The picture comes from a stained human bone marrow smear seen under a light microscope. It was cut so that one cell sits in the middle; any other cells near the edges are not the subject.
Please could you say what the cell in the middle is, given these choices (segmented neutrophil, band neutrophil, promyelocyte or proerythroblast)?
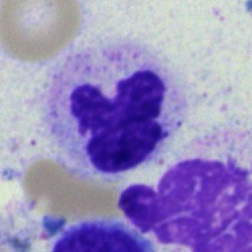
segmented neutrophil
